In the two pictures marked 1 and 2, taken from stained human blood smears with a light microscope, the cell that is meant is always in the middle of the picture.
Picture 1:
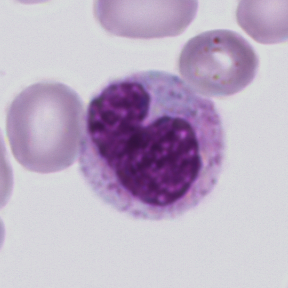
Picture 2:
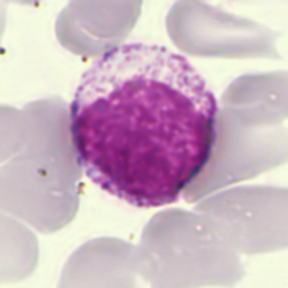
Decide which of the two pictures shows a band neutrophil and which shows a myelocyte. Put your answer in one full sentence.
Picture 1 shows a band neutrophil and picture 2 shows a myelocyte.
